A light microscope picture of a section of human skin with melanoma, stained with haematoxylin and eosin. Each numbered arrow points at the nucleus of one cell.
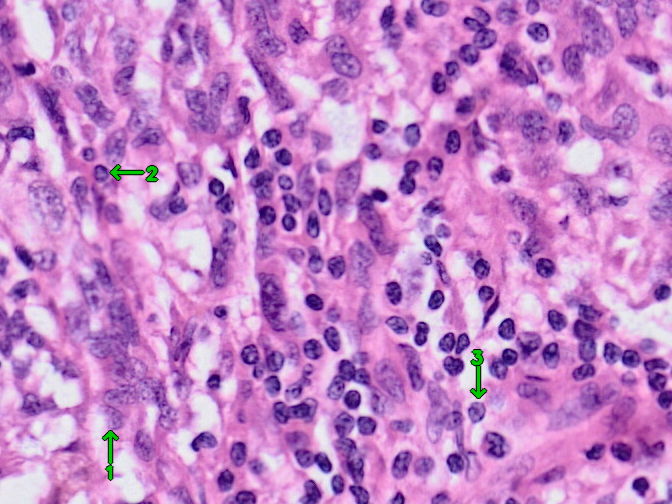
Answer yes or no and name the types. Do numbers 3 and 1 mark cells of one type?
No, a melanoma cell is what cell 1 is, while cell 3 is a lymphocyte.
